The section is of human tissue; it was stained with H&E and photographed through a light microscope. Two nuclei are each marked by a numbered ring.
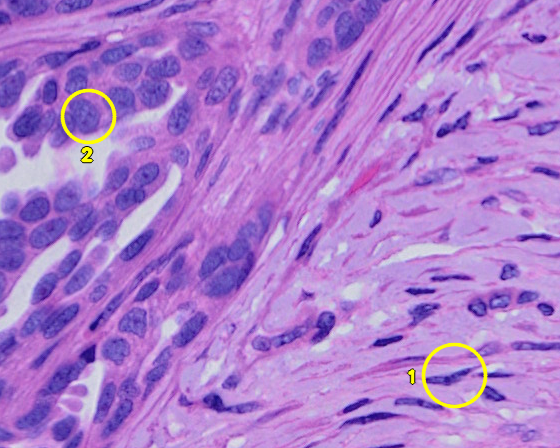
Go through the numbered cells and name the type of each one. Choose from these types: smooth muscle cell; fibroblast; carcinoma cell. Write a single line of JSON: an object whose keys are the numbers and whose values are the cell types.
{"1": "fibroblast", "2": "carcinoma cell"}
